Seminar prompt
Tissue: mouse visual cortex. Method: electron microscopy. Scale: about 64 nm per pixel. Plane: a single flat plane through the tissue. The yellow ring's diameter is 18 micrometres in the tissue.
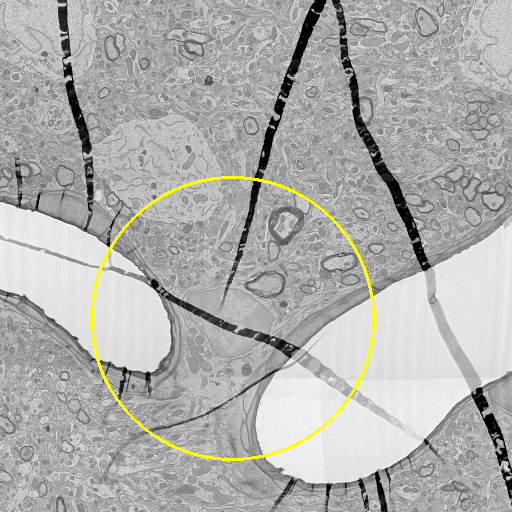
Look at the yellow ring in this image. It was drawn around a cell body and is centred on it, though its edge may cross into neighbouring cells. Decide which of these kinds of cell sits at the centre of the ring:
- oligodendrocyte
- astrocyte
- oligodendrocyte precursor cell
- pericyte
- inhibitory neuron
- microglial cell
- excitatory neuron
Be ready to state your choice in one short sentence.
The kind of cell at the ring's centre is a microglial cell.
